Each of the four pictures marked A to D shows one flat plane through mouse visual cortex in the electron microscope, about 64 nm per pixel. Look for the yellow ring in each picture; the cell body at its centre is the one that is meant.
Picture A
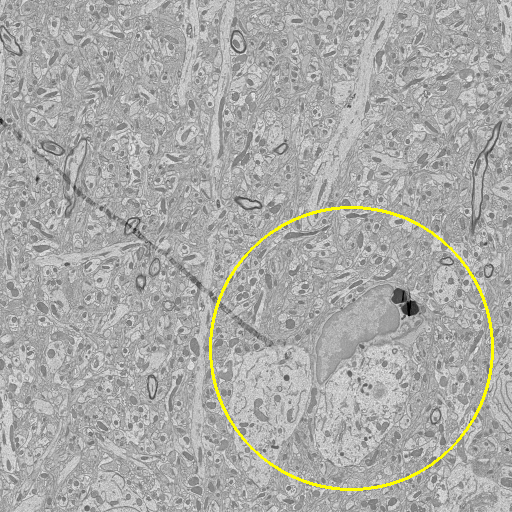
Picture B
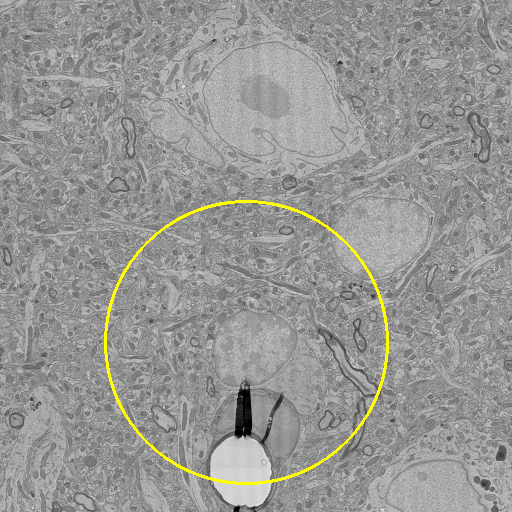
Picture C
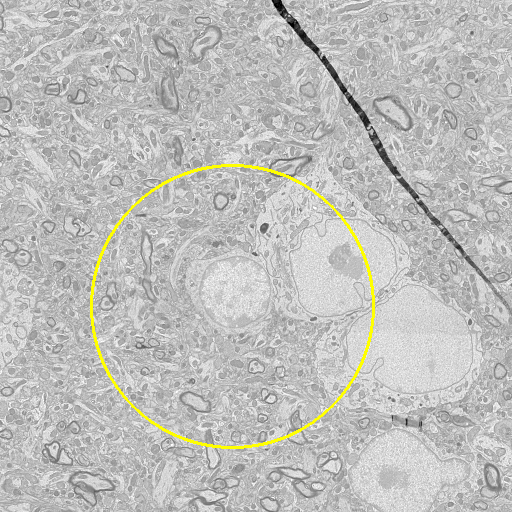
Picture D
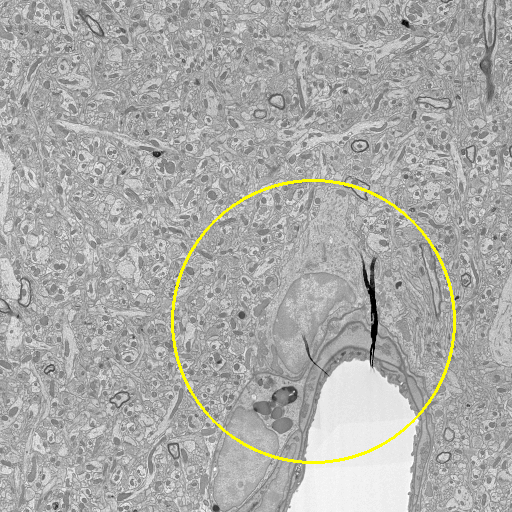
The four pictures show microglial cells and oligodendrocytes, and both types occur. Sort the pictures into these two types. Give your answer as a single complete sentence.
Picture A shows a microglial cell, while pictures B, C and D show oligodendrocytes.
